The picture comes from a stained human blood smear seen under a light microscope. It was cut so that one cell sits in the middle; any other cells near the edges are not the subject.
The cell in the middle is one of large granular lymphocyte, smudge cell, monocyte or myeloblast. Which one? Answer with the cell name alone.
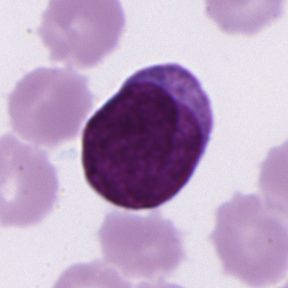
myeloblast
